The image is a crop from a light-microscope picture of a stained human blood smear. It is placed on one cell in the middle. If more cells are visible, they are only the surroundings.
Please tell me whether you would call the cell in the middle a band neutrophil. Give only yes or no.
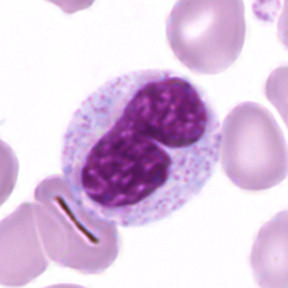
yes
